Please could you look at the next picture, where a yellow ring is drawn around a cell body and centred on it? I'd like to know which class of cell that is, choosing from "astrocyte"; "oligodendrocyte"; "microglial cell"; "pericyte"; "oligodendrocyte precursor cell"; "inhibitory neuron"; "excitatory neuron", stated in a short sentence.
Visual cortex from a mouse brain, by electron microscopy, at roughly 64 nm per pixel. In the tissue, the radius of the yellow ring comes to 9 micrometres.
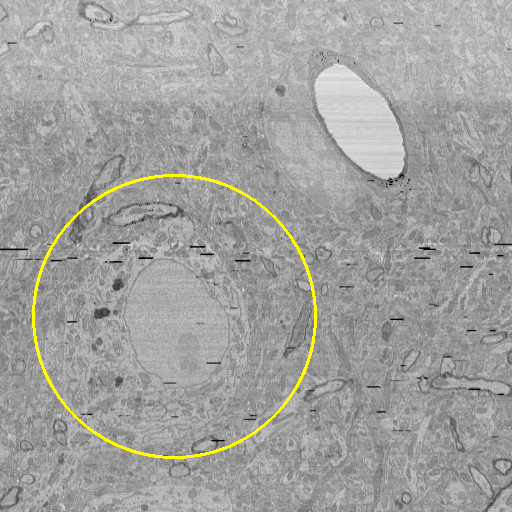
The ring's centre lies on an inhibitory neuron.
